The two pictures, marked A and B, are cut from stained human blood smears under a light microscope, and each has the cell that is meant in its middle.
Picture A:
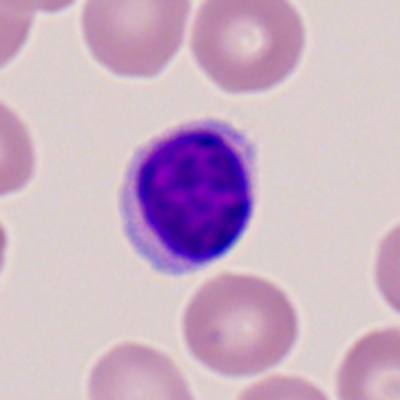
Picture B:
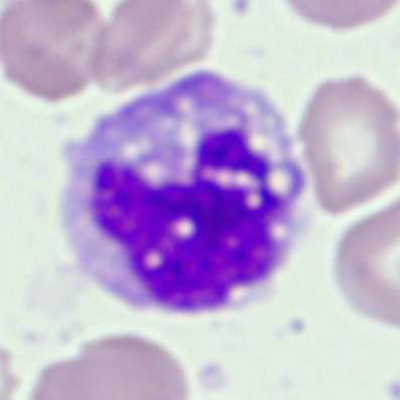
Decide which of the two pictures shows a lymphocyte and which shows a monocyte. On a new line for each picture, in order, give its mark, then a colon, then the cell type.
A: lymphocyte
B: monocyte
